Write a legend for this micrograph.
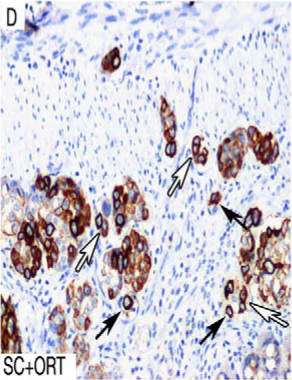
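The tumour front shows brown-stained tumour epithelial cells in small clusters and as single cells lying within a stroma rich in blue-stained elongated nuclei. The tumour cells are rounded with brown rims and cytoplasm, some groups containing only a few cells while isolated cells sit apart among stromal cells.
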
